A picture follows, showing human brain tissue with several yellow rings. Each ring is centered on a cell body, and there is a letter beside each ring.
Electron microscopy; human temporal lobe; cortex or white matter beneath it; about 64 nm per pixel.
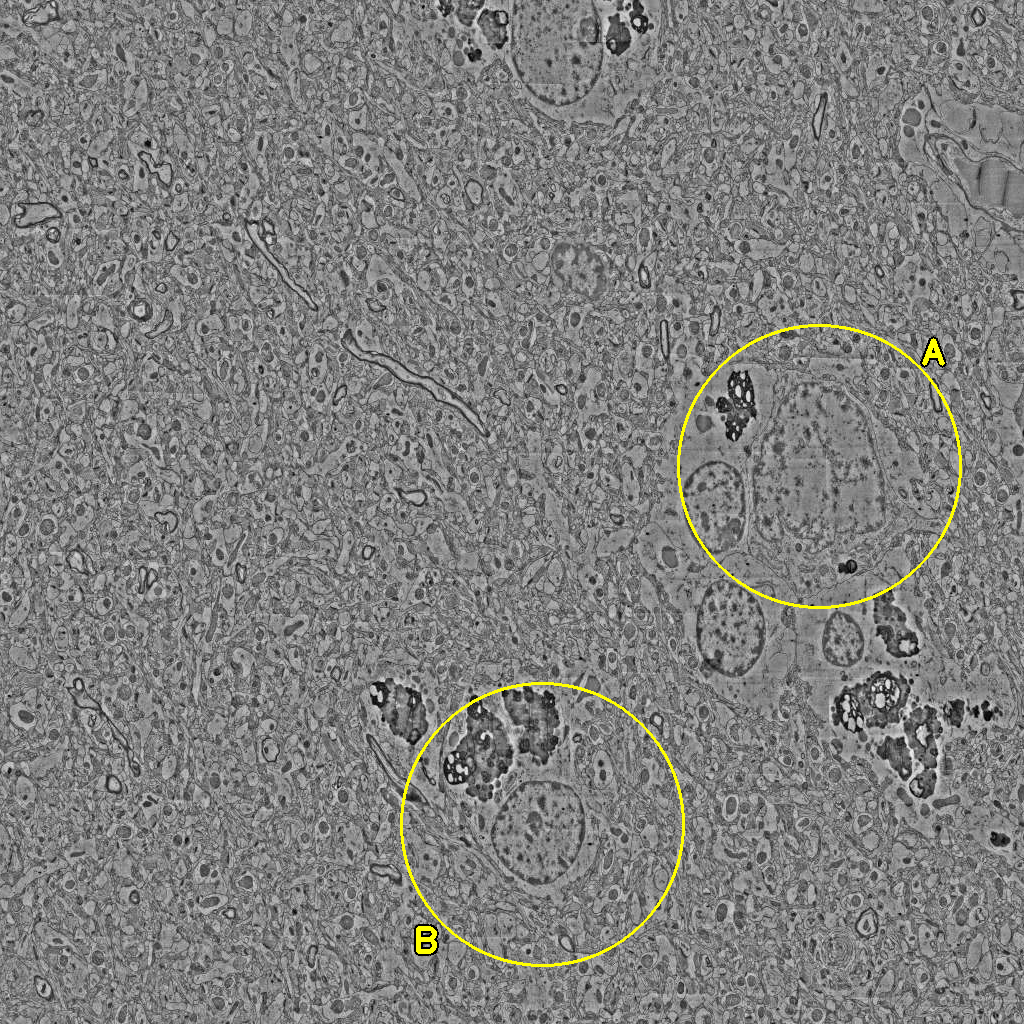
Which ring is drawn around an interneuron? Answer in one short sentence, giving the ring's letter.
Ring A is drawn around it.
